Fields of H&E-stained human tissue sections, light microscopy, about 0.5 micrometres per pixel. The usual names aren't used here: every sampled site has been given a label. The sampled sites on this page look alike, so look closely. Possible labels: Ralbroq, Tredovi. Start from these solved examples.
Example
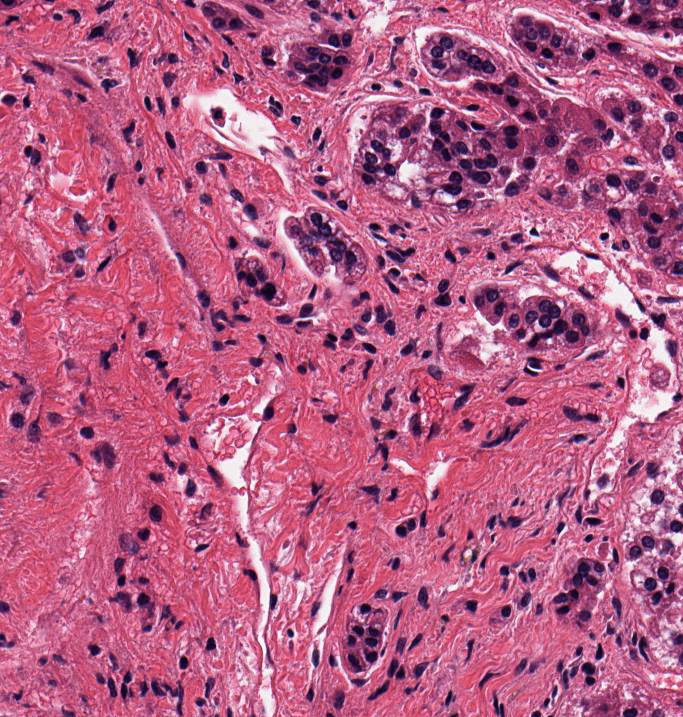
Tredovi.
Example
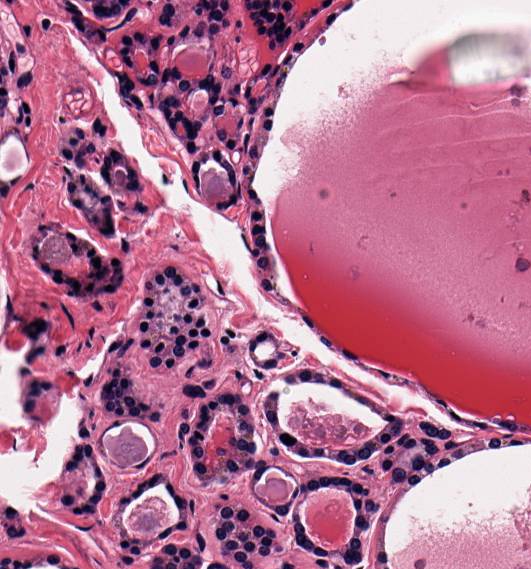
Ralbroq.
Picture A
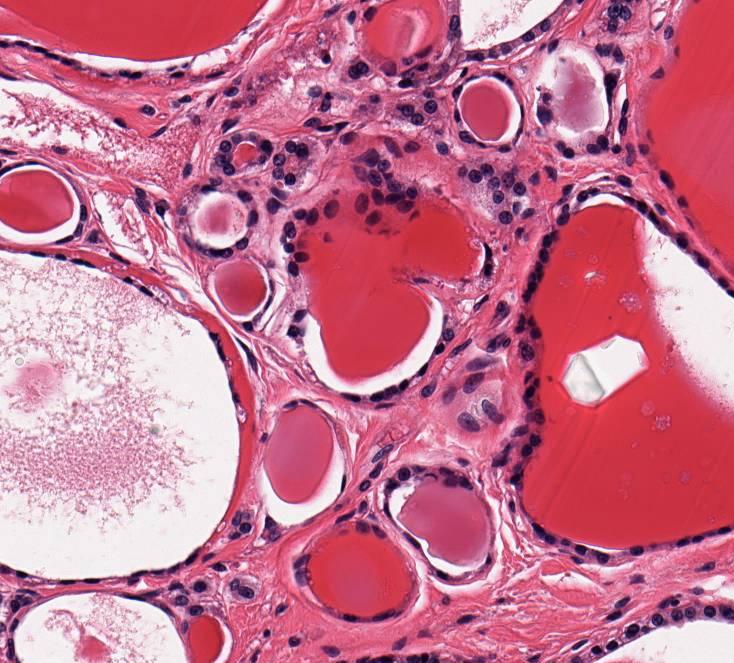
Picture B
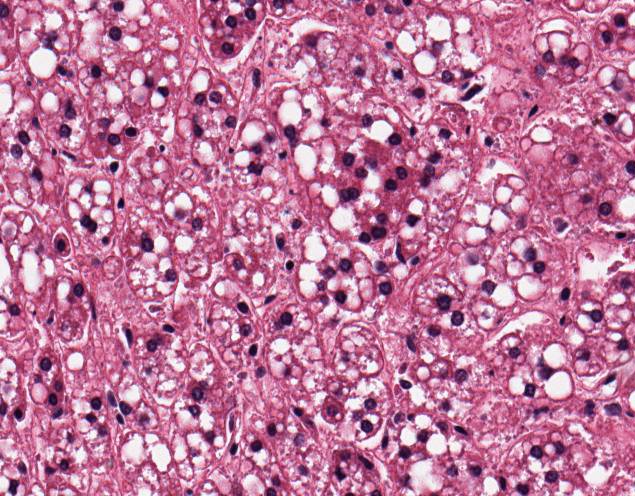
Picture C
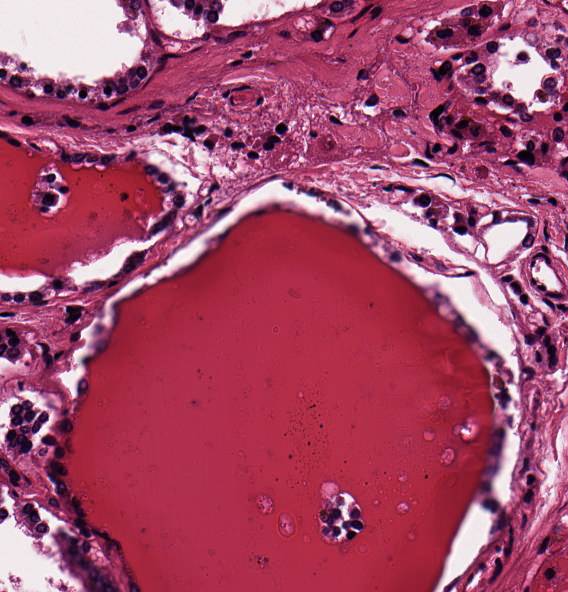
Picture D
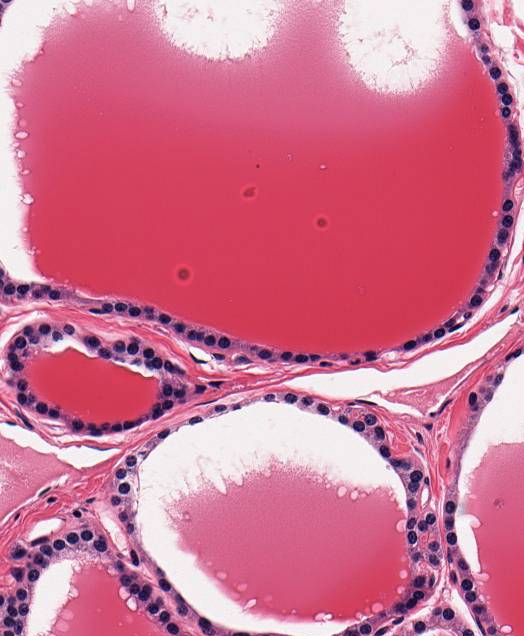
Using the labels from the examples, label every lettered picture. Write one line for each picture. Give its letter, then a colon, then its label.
A: Ralbroq.
B: Tredovi.
C: Ralbroq.
D: Ralbroq.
